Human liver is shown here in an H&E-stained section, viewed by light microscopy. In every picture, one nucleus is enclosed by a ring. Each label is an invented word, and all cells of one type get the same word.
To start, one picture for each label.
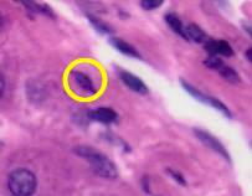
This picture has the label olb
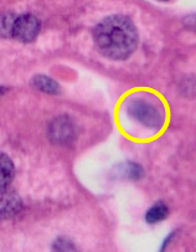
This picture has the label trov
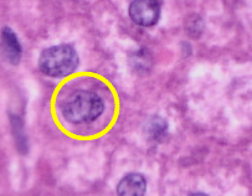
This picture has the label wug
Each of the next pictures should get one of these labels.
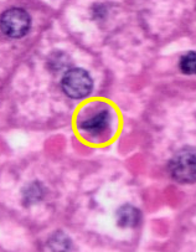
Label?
trov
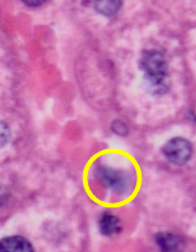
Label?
trov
